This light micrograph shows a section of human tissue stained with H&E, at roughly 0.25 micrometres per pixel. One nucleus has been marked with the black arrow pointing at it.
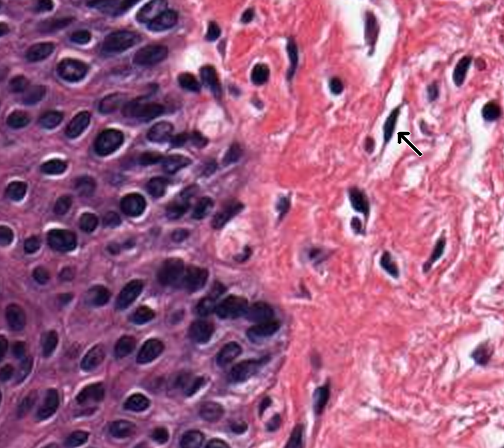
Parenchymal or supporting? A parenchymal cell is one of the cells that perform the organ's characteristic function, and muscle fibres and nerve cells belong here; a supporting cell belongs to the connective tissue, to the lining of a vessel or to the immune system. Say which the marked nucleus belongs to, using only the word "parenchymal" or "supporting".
supporting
